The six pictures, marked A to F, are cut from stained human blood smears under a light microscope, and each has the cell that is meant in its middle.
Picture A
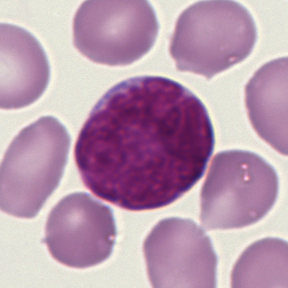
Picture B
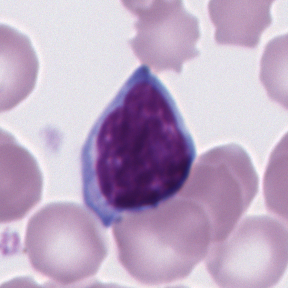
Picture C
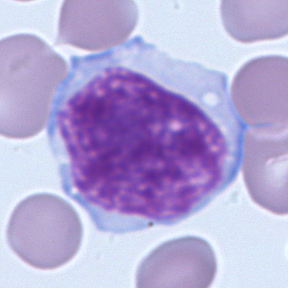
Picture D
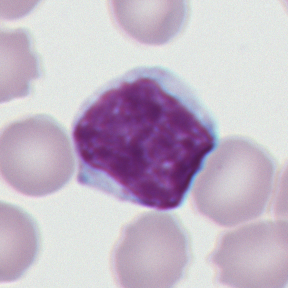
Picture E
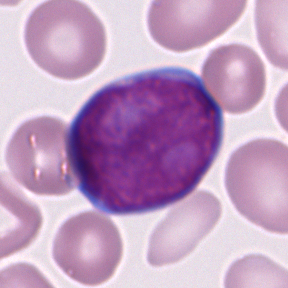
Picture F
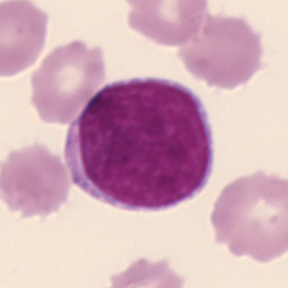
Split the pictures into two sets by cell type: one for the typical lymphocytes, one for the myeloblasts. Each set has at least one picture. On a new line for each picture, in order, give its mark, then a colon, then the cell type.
A: myeloblast
B: typical lymphocyte
C: myeloblast
D: typical lymphocyte
E: myeloblast
F: myeloblast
